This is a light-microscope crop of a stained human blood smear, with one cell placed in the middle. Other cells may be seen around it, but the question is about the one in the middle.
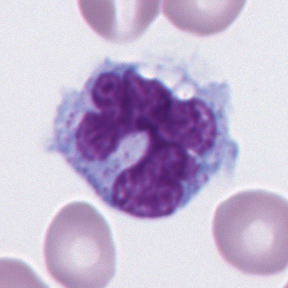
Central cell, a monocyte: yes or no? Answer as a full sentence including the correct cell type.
Yes, at the centre of the crop lies a monocyte.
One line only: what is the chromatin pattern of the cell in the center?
The chromatin is fine; coarse clumps are not a feature here.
